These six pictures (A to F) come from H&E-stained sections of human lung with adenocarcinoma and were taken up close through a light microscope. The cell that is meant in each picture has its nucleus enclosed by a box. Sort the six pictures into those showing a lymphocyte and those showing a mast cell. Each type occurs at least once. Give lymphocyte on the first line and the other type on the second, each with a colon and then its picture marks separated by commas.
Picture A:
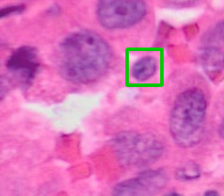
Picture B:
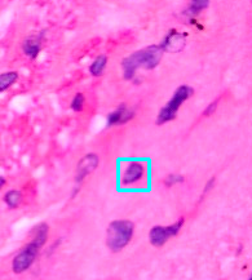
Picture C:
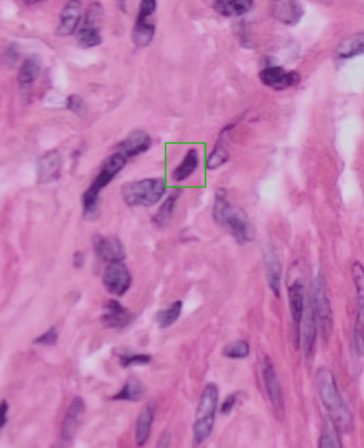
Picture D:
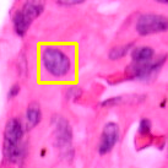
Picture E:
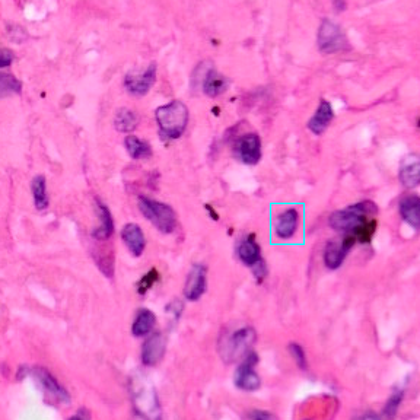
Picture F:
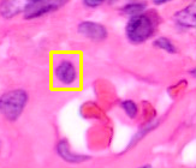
lymphocyte: A, F
mast cell: B, C, D, E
